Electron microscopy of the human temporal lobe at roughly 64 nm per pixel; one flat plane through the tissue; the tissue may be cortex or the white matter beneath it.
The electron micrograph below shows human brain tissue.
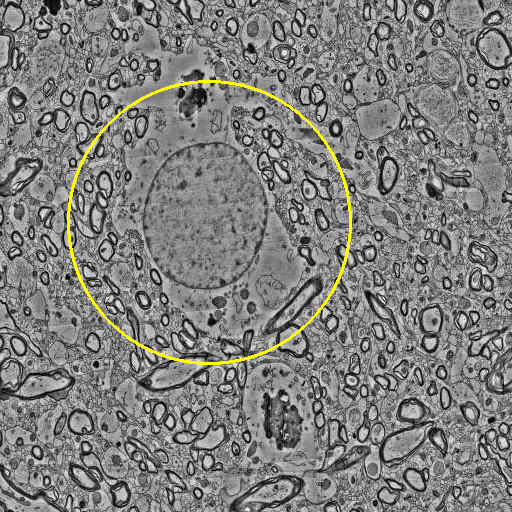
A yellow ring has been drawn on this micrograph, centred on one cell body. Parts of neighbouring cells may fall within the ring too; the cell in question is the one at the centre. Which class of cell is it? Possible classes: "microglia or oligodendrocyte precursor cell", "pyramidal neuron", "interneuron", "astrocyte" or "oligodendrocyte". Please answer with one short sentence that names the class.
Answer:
In the centre of the ring sits an astrocyte.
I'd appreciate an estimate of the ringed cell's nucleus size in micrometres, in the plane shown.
The nucleus appears roughly 9 by 8 micrometres in this plane.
